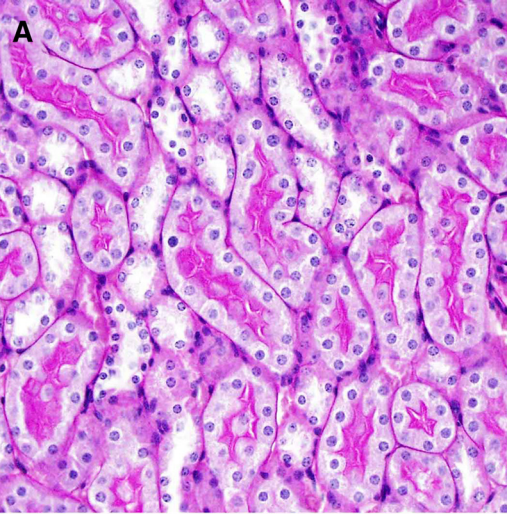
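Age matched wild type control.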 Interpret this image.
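This is normal kidney tissue made of closely packed renal tubules cut in cross and oblique section. Each tubule is lined by a single layer of cuboidal epithelial cells with pale cytoplasm and round, centrally placed nuclei. The luminal surface of many tubules bears a bright magenta border, and their narrow lumens often appear star-shaped. Thin magenta basement membranes outline each tubule. The interstitium between tubules is scant, holding only a few small dark nuclei. No cysts or widened lumens are seen; the tubules are of fairly even size.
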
